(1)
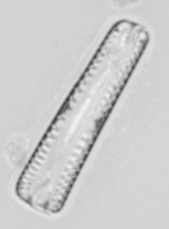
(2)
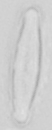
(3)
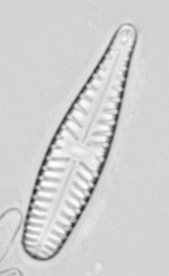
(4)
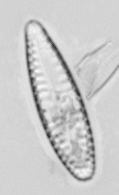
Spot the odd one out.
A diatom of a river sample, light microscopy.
Picture 2 (Achnanthidium among Gomphonema).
